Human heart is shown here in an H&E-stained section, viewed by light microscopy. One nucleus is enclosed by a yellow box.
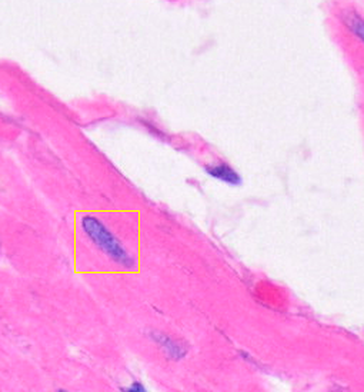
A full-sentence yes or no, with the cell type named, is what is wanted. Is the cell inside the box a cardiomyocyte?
Yes, the cell inside the box qualifies as a cardiomyocyte in this section.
